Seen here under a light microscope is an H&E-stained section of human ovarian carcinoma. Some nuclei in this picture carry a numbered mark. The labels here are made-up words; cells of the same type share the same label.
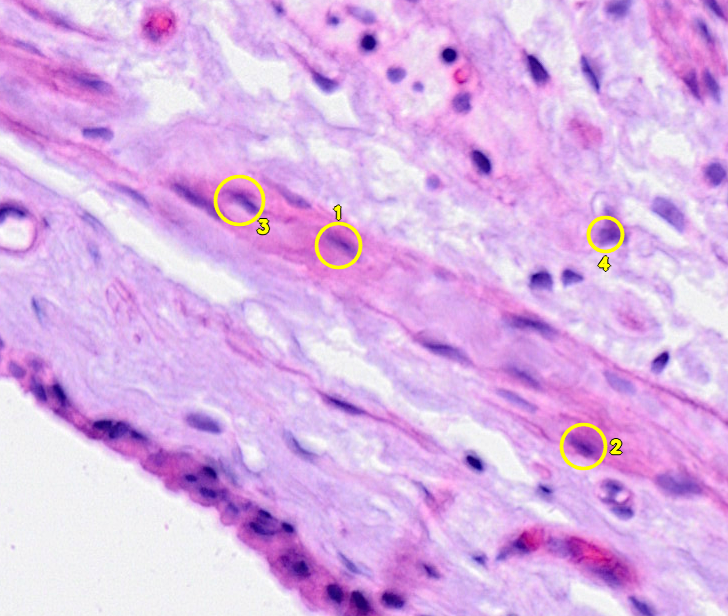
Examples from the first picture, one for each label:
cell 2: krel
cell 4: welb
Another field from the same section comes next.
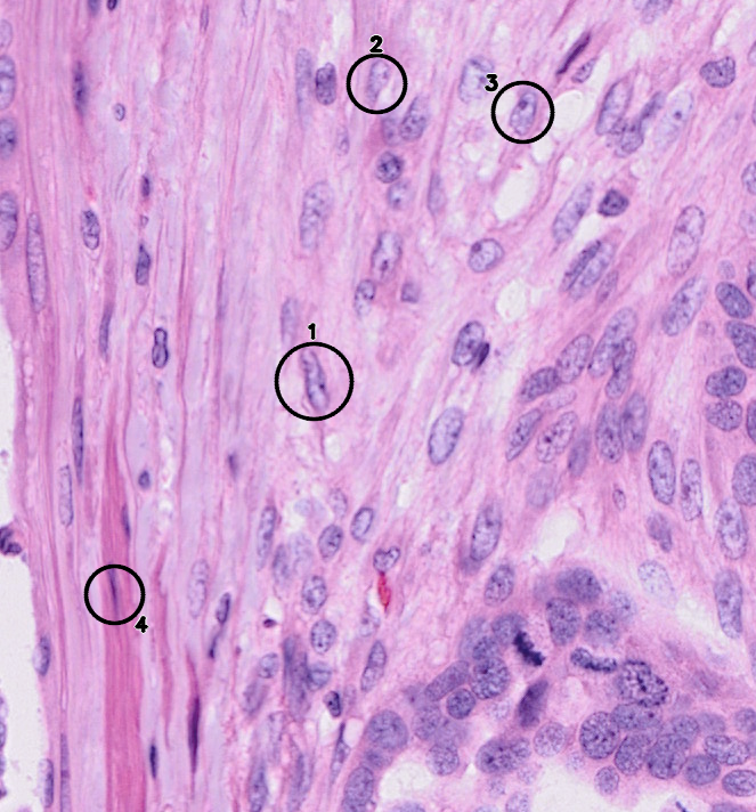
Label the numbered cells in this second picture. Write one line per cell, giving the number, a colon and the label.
1: welb
2: welb
3: welb
4: krel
